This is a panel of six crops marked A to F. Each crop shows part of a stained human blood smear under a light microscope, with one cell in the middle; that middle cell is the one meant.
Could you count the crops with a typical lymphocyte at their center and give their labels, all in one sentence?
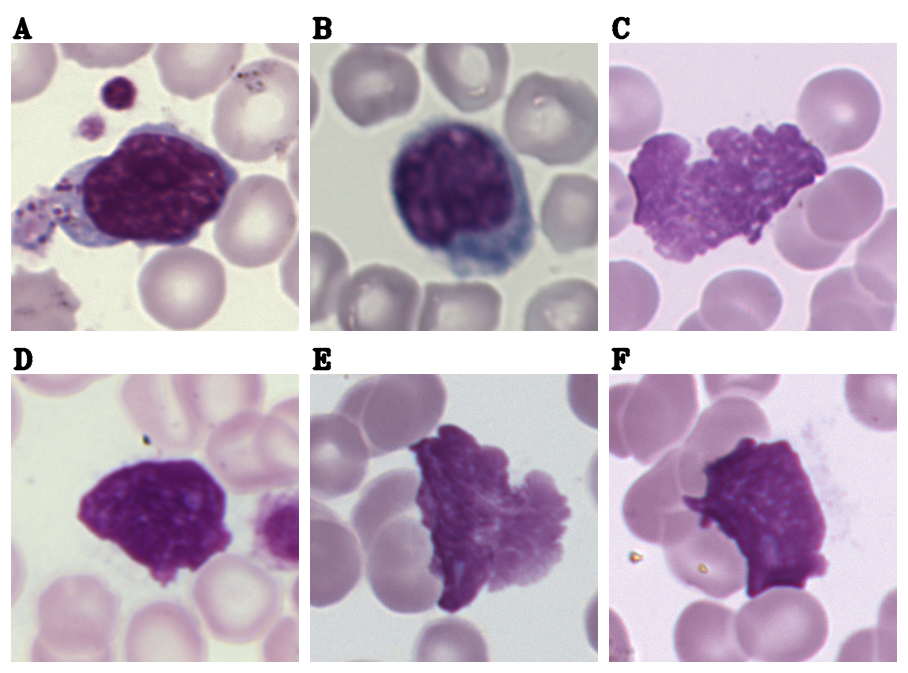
Zero, since typical lymphocytes are not present in any of the crops.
